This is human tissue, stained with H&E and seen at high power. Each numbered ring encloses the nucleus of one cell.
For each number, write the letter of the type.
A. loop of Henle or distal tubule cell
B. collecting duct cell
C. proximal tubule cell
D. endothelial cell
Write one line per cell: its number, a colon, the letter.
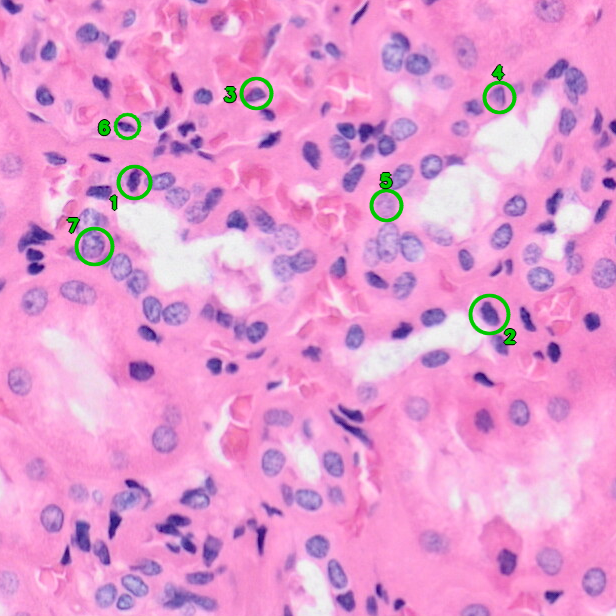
1: B
2: A
3: D
4: B
5: B
6: D
7: B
